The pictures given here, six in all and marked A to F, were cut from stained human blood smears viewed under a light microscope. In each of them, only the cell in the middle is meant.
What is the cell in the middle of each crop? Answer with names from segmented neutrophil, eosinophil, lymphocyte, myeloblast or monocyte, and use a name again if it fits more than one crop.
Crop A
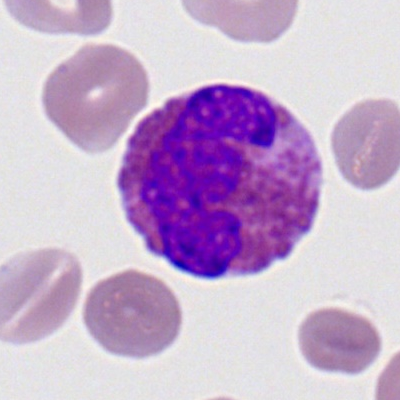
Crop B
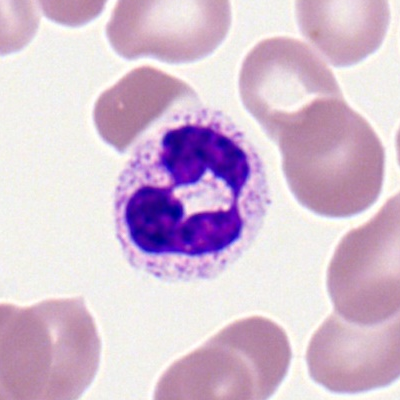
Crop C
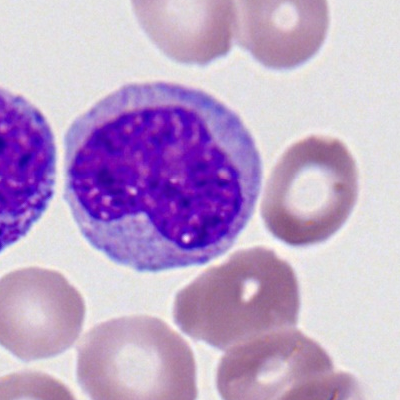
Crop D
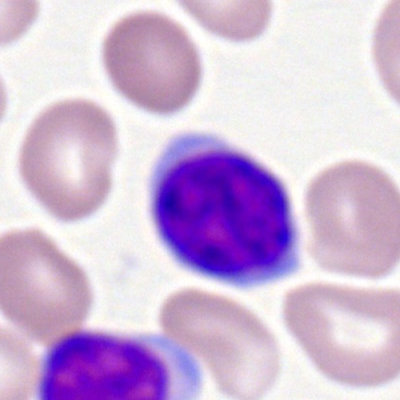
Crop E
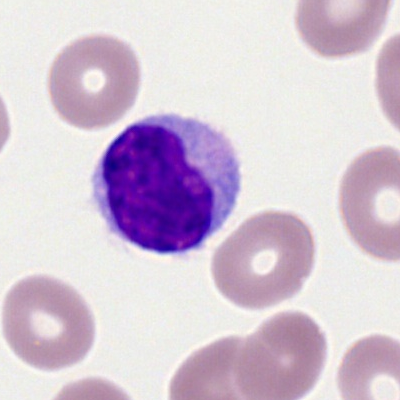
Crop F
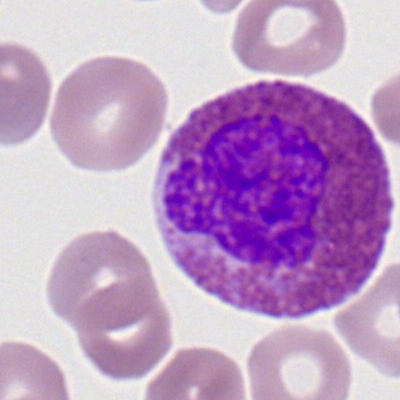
A: eosinophil
B: segmented neutrophil
C: monocyte
D: lymphocyte
E: lymphocyte
F: eosinophil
